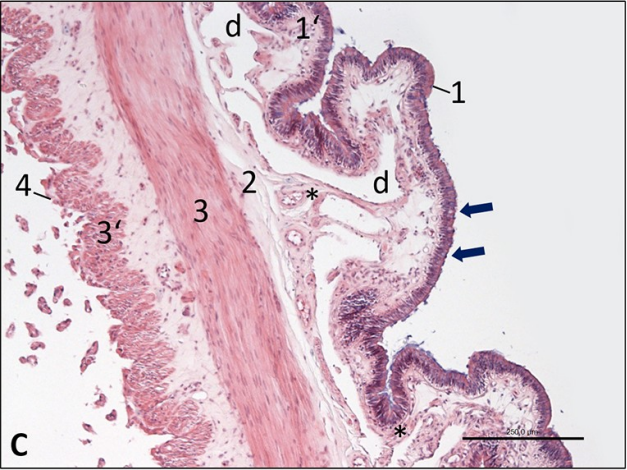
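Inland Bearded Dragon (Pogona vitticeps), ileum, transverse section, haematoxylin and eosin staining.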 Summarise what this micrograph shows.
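This is the full wall of the small intestine, with mucosal folds on one side and layered muscle on the other. The folds are covered by a columnar epithelium with purple nuclei around loose lamina propria cores. A thin loose submucosal layer separates them from a thick, compact pink band of smooth muscle, outside of which lies a second muscle layer cut as bundles with a wavy outline. A thin serosal covering forms the outermost edge.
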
